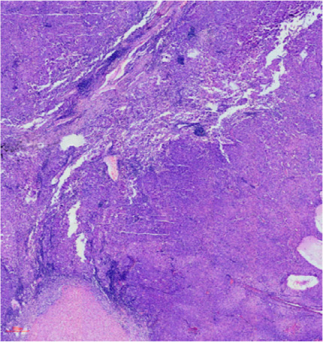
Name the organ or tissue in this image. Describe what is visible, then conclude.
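Broad solid sheets of densely packed purple-staining cells. Sheets are separated by bands of paler fibrous stroma with slit-like spaces. A pink homogeneous area lies at the lower left.
Hence: tumor tissue.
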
